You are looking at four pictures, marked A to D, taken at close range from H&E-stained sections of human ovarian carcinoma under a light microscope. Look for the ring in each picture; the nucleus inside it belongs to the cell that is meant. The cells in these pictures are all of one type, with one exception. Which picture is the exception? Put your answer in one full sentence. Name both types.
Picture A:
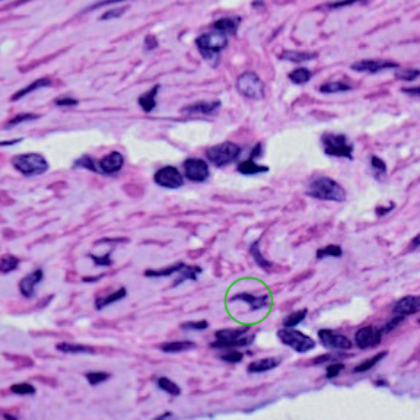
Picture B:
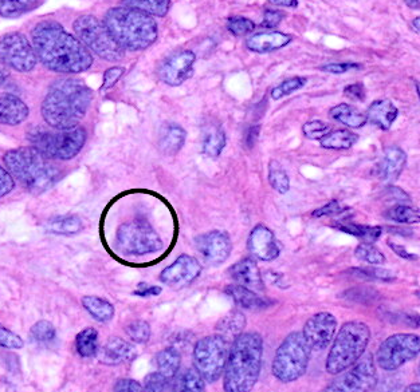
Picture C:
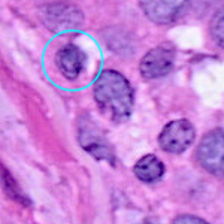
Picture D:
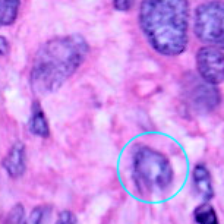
Picture C differs, because its cell is a “macrophage or monocyte” and the rest are fibroblasts.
